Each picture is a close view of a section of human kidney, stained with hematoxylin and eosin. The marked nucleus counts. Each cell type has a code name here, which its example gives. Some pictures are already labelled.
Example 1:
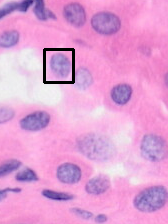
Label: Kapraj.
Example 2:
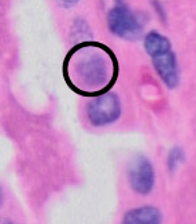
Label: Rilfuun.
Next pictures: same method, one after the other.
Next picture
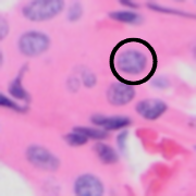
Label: Kapraj.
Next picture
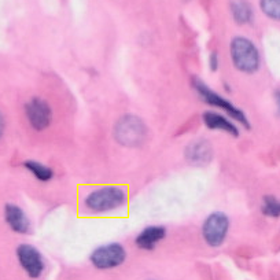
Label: Kapraj.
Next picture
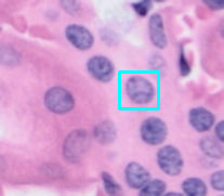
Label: Rilfuun.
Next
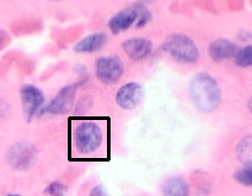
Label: Kapraj.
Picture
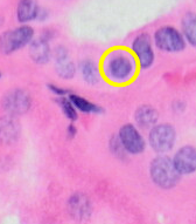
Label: Rilfuun.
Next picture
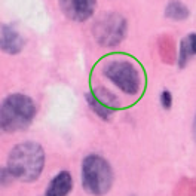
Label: Rilfuun.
